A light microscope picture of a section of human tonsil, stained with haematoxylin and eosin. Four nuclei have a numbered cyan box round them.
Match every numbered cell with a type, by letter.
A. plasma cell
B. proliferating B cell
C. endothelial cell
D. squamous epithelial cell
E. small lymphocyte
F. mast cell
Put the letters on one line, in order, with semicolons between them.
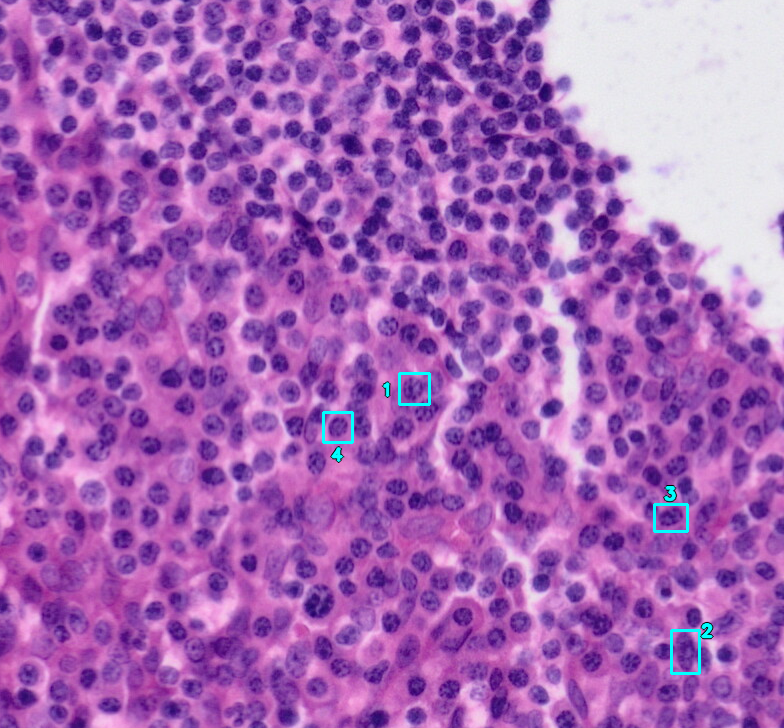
A; D; A; A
